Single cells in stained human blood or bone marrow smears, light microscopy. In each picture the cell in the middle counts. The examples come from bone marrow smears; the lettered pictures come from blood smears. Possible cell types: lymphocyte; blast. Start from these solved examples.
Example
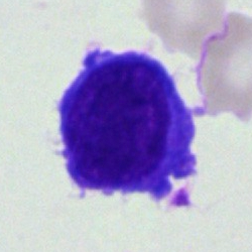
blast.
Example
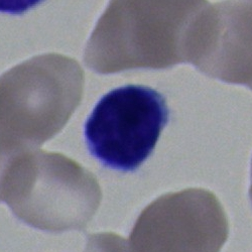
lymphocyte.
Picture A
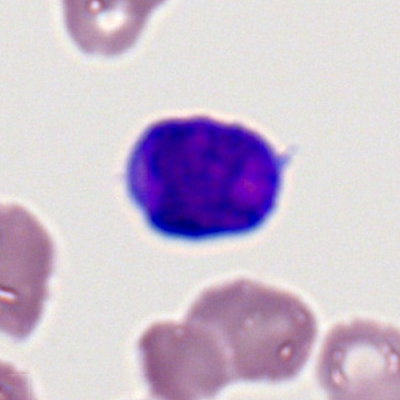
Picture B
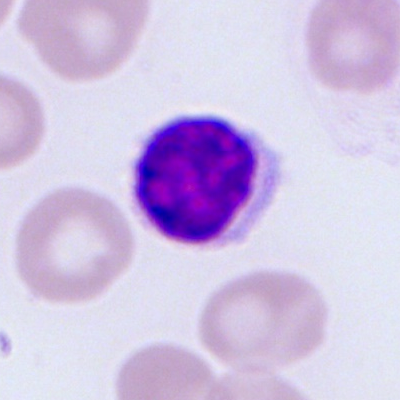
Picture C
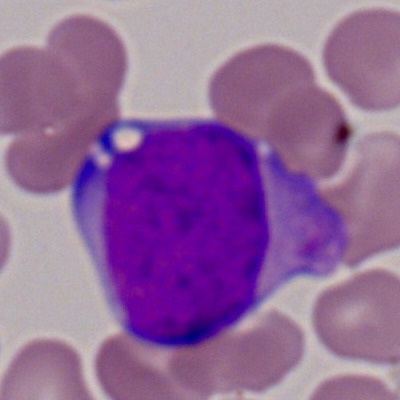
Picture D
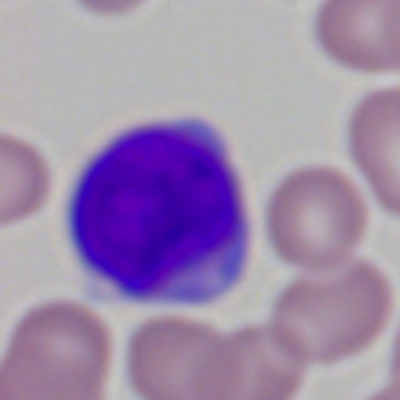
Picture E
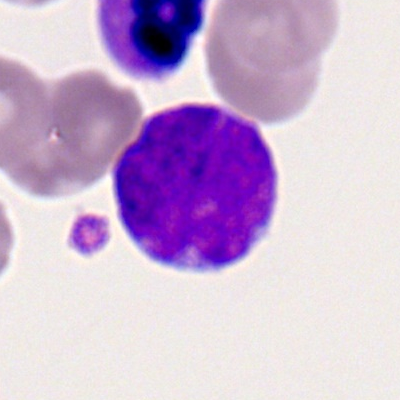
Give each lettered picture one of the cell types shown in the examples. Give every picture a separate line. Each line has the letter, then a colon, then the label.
A: lymphocyte.
B: lymphocyte.
C: blast.
D: blast.
E: blast.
